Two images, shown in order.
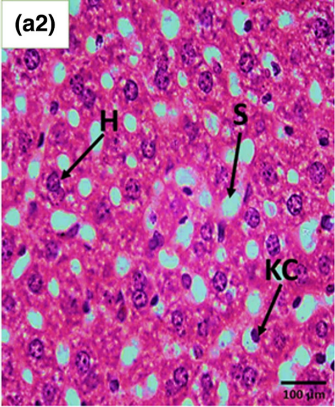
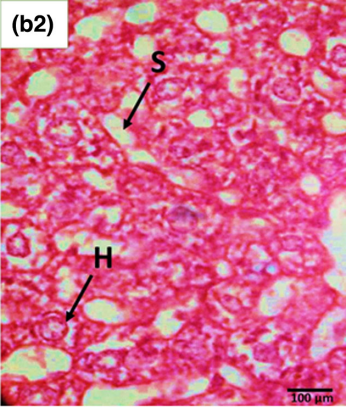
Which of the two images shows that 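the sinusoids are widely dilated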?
the second image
